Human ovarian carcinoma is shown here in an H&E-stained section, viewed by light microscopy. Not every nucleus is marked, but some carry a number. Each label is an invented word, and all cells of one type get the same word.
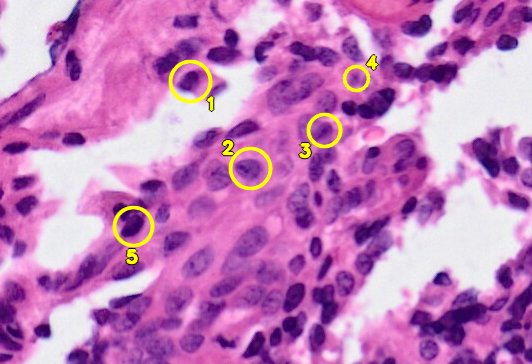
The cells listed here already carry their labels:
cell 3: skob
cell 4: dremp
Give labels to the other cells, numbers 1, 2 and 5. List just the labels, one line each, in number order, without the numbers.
skob
dremp
skob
